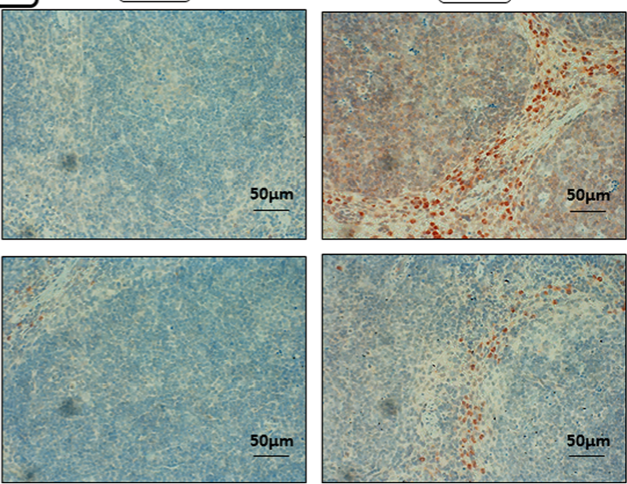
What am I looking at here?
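In the two right-hand images scattered cells carry a red-brown stain, gathered along bands and strands that run through the tissue, more numerous in the upper image. The two left-hand images are almost entirely blue, with at most a few red-brown cells.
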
